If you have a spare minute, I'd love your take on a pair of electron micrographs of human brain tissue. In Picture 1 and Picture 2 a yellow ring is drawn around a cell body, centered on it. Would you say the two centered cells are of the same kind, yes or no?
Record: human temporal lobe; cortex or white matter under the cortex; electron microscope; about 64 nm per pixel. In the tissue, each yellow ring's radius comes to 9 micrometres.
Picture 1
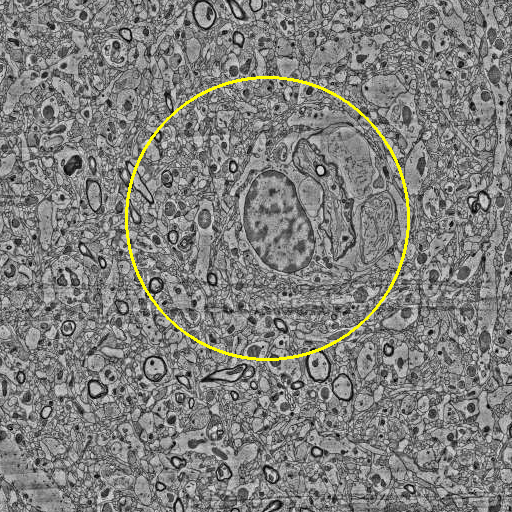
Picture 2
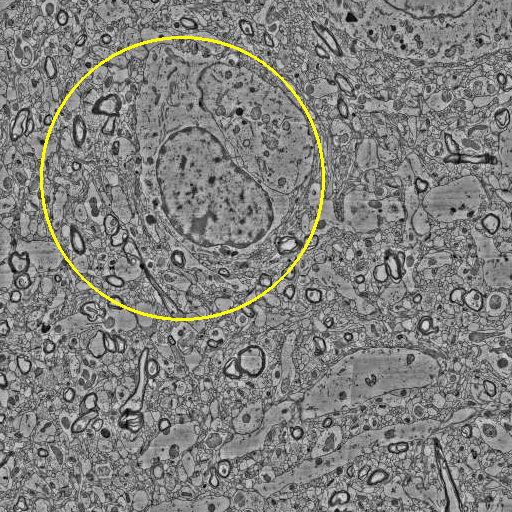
yes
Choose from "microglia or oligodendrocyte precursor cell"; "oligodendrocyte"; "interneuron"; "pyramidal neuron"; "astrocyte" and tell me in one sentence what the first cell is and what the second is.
Each one of the two ringed cells is a microglial cell or oligodendrocyte precursor cell.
